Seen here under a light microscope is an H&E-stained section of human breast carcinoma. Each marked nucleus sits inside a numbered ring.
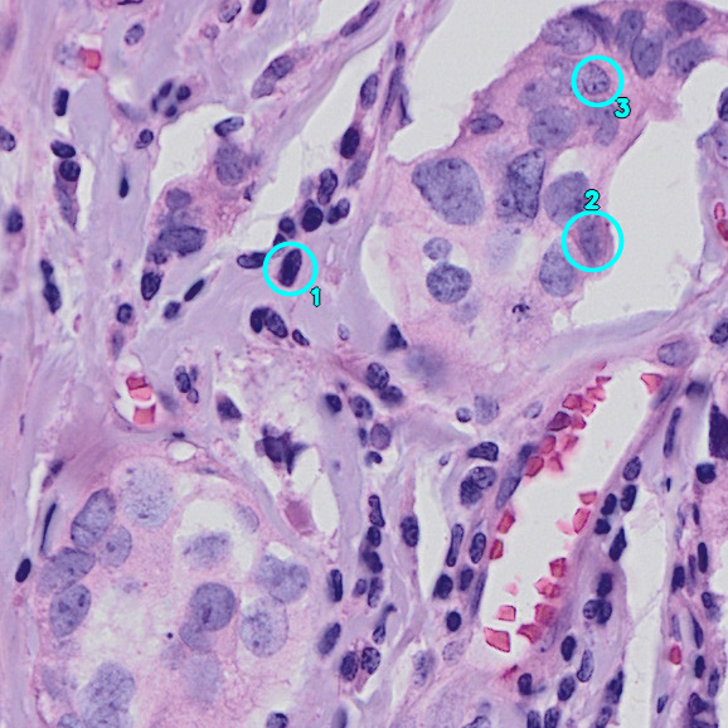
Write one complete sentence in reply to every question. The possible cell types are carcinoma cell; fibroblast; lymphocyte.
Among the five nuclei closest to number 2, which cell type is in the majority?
Carcinoma cells account for more than half of the five nuclei nearest to number 2.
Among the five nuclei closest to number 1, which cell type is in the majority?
Lymphocytes account for more than half of the five nuclei nearest to number 1.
